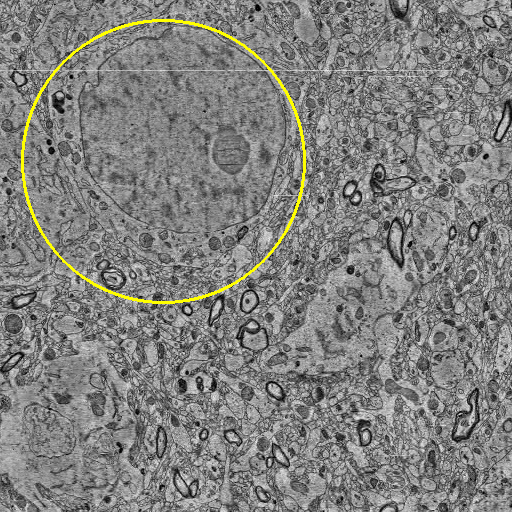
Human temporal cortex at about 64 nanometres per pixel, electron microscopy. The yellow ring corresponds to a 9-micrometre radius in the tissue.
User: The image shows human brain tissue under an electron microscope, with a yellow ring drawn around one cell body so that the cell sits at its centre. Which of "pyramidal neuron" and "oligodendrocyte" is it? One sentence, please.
At the centre of the ring sits a pyramidal neuron.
